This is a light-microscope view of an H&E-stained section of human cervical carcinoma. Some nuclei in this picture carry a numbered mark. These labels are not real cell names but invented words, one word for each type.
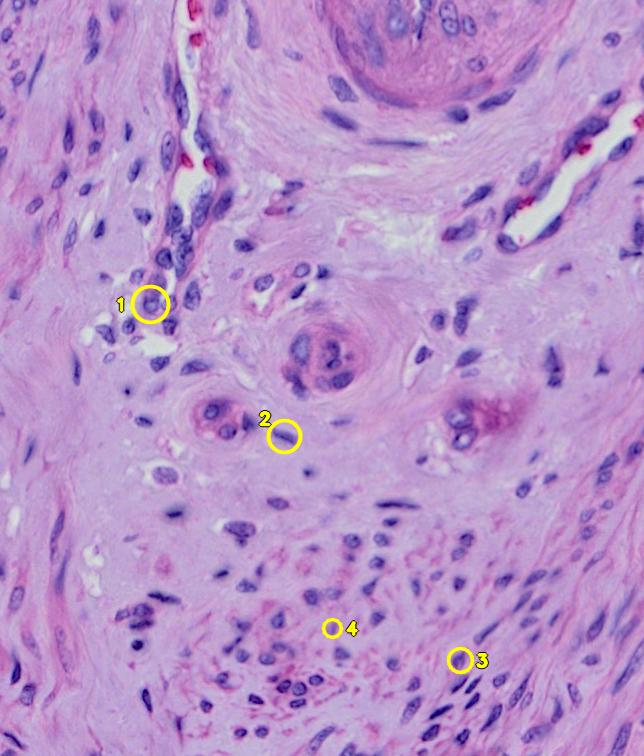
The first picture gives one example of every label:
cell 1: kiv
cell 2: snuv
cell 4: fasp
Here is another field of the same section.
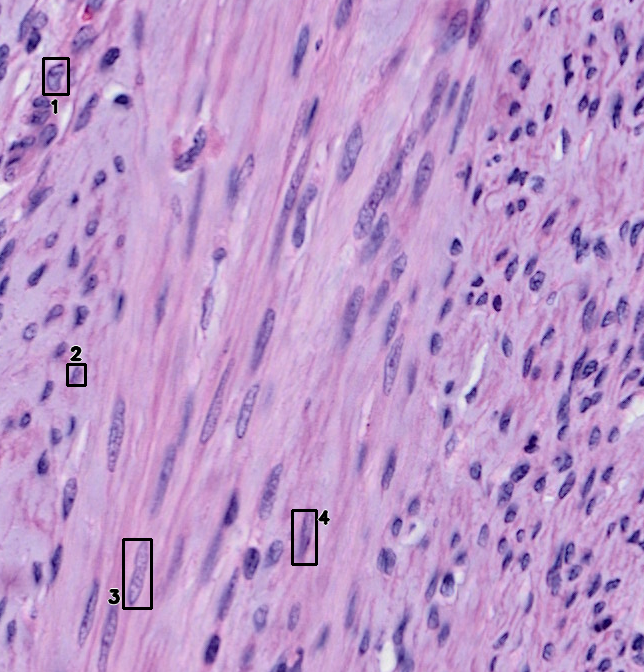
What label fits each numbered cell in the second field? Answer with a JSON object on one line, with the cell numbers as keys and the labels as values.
{"1": "kiv", "2": "fasp", "3": "fasp", "4": "fasp"}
